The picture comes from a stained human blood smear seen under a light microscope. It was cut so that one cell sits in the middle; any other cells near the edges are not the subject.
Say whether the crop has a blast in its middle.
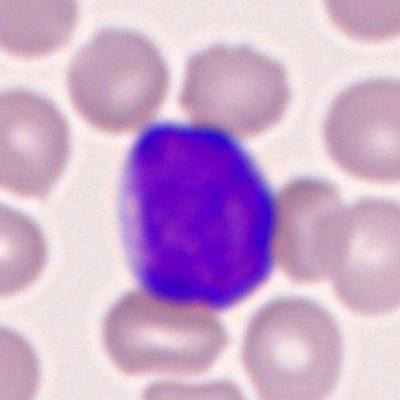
yes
